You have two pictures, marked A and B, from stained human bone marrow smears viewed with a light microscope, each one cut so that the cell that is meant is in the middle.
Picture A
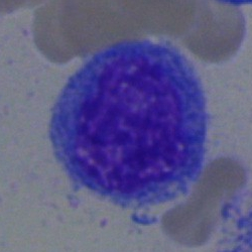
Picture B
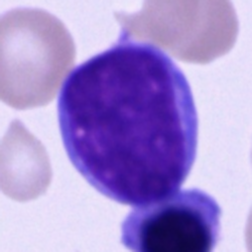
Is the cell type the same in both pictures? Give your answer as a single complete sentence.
Yes, they are the same type: both are blasts.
